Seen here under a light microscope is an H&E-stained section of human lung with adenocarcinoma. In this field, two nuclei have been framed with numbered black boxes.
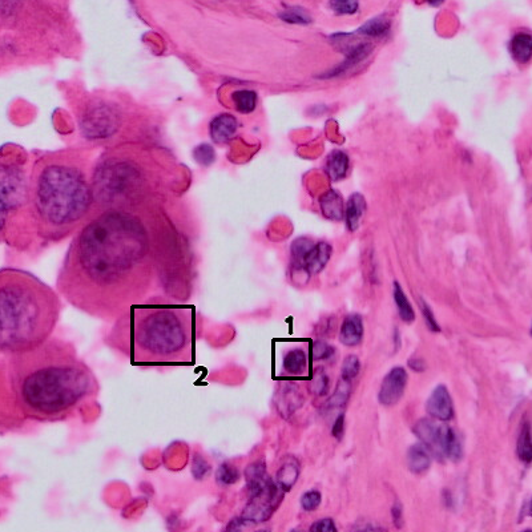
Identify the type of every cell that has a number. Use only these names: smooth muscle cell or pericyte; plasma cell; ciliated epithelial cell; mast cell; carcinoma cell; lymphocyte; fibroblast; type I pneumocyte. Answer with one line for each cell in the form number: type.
1: lymphocyte
2: carcinoma cell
